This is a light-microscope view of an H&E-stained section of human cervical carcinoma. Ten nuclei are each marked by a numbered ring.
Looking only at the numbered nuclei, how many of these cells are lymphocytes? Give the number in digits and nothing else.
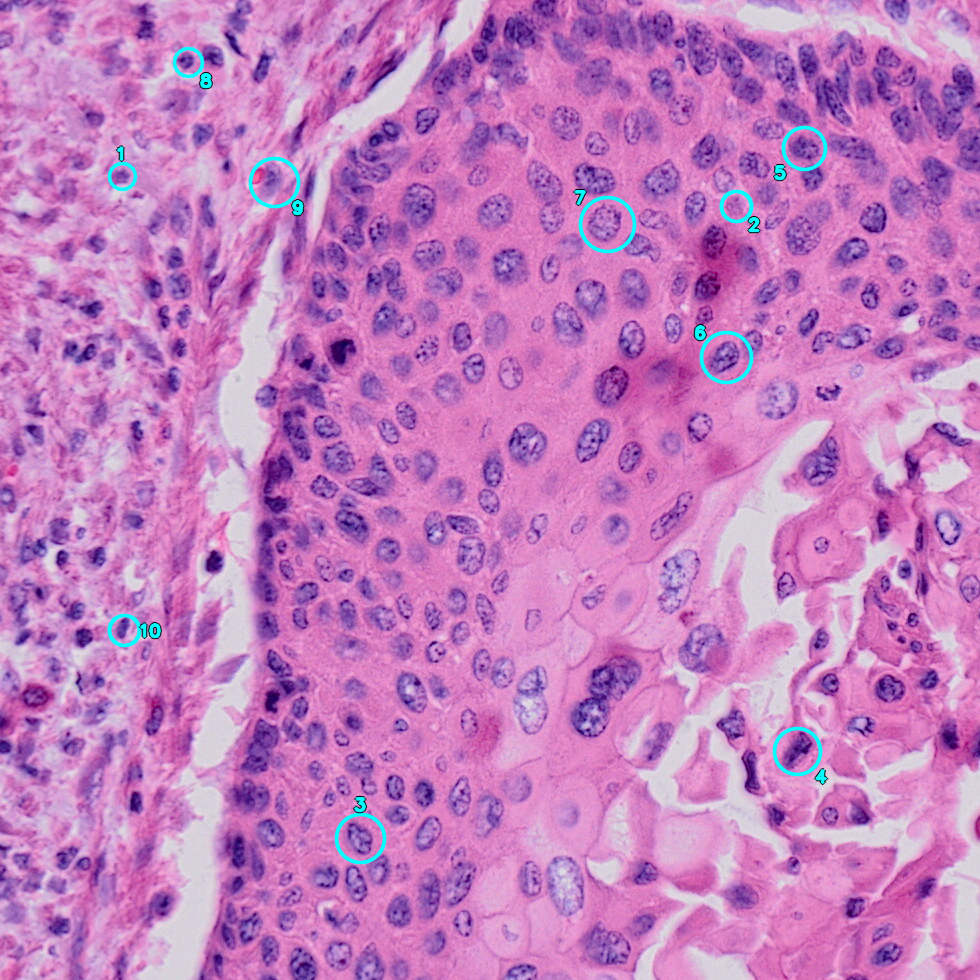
2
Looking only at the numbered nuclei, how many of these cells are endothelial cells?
1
